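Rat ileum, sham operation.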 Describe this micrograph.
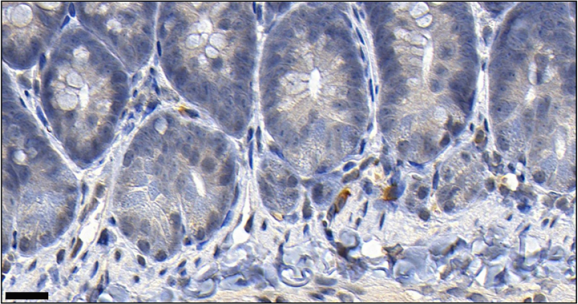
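Mucosa with glands cut in cross-section, each a ring of columnar epithelium around a small central lumen, with pale mucus-filled cells among them and only faint brown staining. Thin strands of connective tissue separate the glands, and looser, pale connective tissue of the submucosa lies beneath, with a few scattered brown cells near the gland bases.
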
